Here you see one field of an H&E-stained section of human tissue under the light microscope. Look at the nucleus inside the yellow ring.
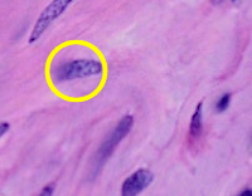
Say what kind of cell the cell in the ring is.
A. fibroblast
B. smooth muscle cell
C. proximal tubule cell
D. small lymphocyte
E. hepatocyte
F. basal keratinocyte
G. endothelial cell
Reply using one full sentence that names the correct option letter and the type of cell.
The correct pick is option A; the cell in the ring is a fibroblast.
